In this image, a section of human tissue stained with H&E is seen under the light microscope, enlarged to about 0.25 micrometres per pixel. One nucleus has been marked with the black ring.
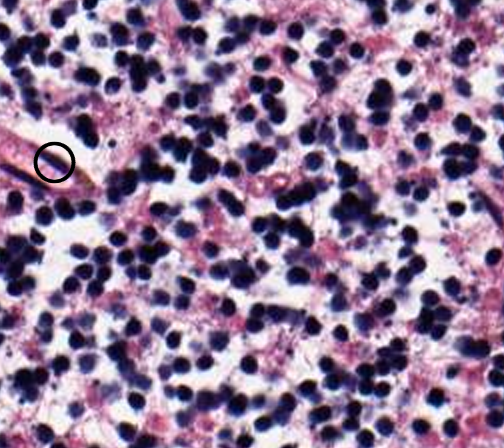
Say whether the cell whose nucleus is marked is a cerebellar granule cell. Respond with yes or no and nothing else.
no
